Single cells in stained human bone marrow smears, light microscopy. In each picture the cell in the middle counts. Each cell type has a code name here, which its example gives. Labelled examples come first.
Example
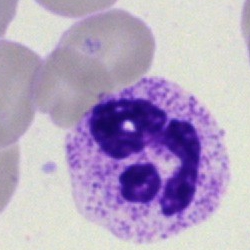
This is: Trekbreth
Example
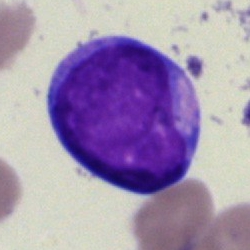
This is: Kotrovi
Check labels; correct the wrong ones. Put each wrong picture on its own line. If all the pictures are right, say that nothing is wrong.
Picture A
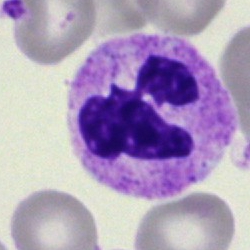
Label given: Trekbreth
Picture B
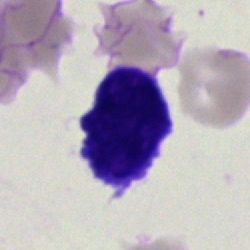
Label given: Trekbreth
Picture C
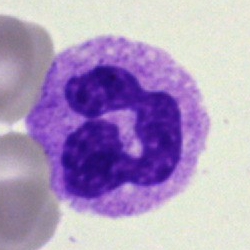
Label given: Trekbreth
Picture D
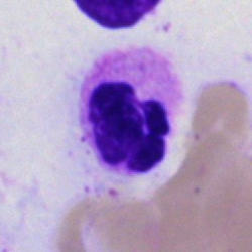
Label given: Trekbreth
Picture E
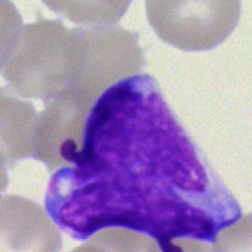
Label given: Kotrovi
B: Kotrovi, not Trekbreth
